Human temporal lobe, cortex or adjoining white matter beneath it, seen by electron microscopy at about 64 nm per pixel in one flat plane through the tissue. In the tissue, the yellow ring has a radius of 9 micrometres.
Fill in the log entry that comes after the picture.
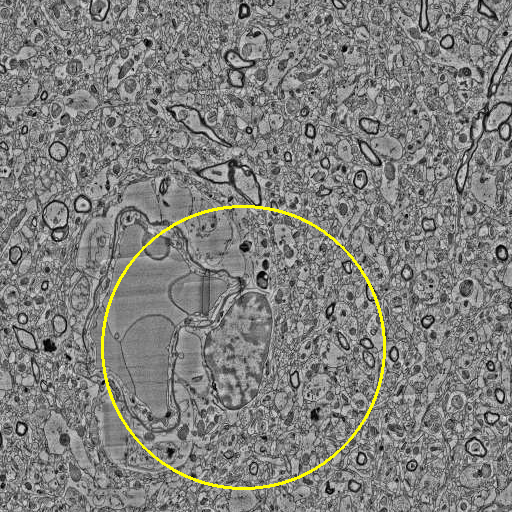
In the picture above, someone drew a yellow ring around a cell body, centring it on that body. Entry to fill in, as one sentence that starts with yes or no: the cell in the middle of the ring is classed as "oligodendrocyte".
No, the cell in the ring's centre in this image is of a different kind.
